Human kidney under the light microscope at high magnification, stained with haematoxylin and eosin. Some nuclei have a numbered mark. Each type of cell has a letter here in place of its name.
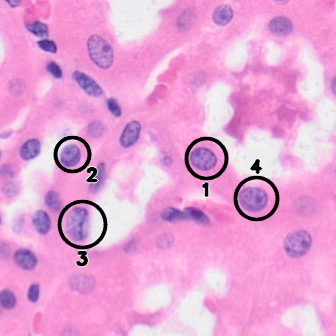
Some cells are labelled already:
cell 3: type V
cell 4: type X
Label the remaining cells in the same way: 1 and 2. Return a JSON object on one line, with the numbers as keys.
{"1": "type X", "2": "type V"}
